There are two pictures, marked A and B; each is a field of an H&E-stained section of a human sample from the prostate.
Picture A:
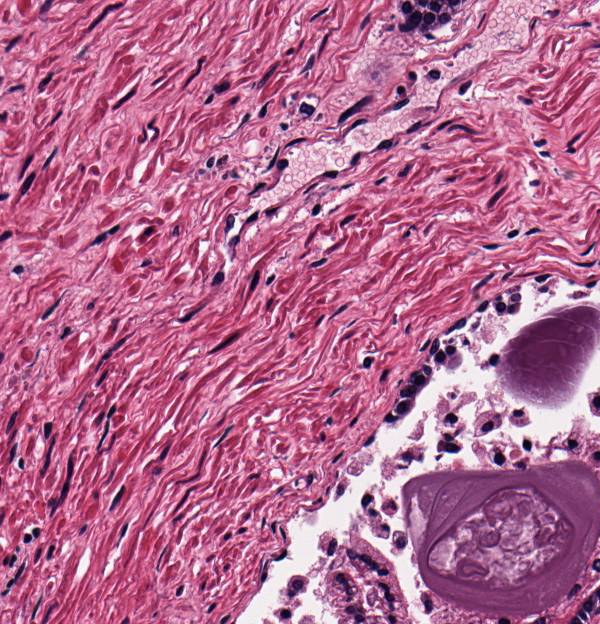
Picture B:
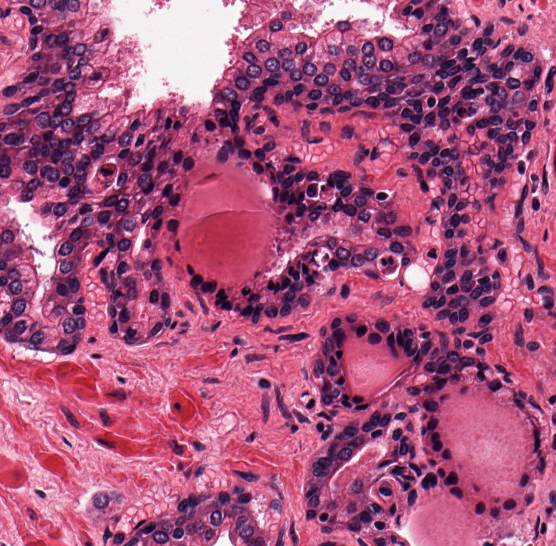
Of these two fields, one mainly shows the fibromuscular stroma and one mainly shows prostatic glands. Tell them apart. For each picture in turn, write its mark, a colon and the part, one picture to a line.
A: fibromuscular stroma
B: prostatic glands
